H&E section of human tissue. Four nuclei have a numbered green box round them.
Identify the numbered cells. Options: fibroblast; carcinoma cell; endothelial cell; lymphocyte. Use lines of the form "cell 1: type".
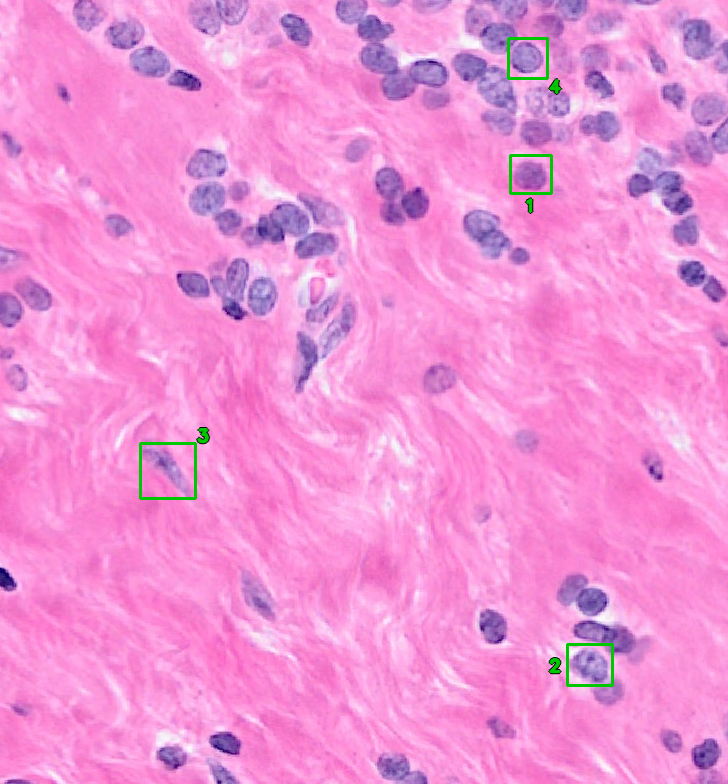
cell 1: carcinoma cell
cell 2: carcinoma cell
cell 3: fibroblast
cell 4: carcinoma cell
